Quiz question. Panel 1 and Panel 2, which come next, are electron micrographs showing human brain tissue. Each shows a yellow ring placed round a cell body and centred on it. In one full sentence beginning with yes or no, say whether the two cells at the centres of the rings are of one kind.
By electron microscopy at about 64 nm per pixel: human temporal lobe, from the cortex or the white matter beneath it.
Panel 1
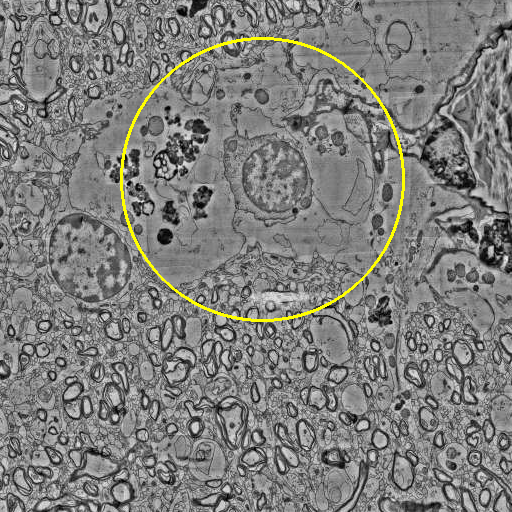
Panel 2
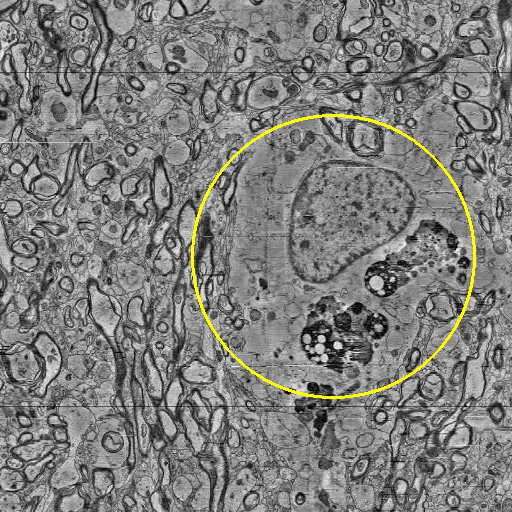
No, Panel 1 and Panel 2 show two kinds of cell at the centre of the ring.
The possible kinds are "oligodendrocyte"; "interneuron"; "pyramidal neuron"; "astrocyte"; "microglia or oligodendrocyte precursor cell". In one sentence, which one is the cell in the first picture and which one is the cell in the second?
The cell ringed in the second picture is an astrocyte, whereas the one ringed in the first is an oligodendrocyte.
